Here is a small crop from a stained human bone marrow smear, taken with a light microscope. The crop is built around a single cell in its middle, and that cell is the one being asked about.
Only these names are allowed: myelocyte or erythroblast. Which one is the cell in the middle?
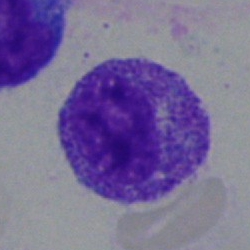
myelocyte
